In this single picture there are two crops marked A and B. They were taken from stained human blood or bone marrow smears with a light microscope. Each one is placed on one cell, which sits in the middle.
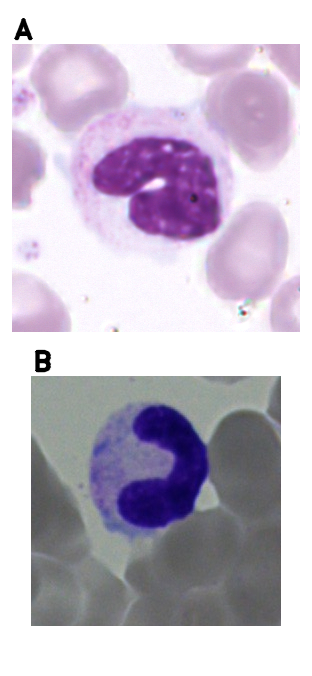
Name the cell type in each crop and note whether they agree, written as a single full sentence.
Yes, in the case of both crops, the central cells are band neutrophils.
